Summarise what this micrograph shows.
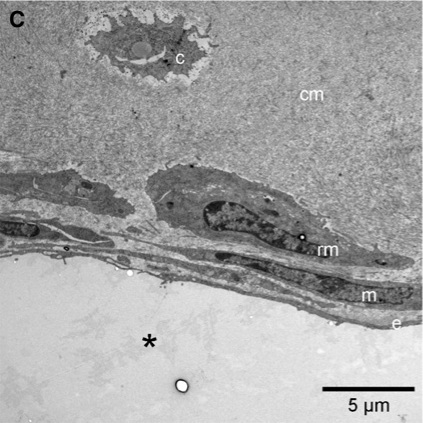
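This electron micrograph shows the wall of a cartilage canal, with a vessel lumen below and hyaline cartilage matrix above. The pale vessel lumen, containing flocculent material, is lined by a thin flattened endothelial cell. Next to the endothelium lie several flattened fibroblast-like mesenchymal cells with elongated nuclei and long, thin cytoplasmic processes with scant cytoplasm, stacked in parallel layers. Further out a plumper, more rounded mesenchymal cell with an oval nucleus and more cytoplasm borders the matrix. The upper part is filled with finely fibrillar, evenly textured cartilage matrix in which a chondrocyte sits within a pale lacuna.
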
